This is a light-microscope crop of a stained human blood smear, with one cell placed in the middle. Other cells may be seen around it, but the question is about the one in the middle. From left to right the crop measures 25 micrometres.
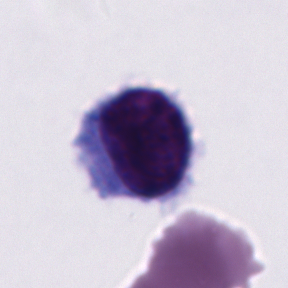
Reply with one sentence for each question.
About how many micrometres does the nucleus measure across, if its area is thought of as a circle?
About 8 micrometres: that is the diameter of the nucleus.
